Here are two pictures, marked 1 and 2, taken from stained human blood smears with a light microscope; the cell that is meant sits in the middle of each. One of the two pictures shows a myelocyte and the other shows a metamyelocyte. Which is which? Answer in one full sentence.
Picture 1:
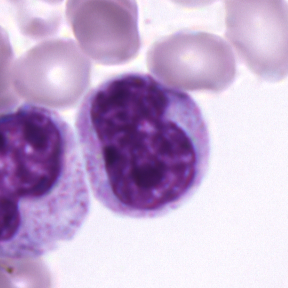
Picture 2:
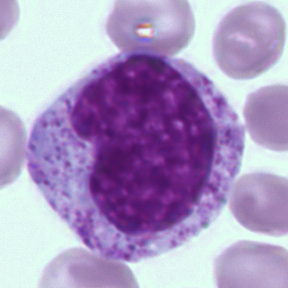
Picture 2 shows a myelocyte, while picture 1 shows a metamyelocyte.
